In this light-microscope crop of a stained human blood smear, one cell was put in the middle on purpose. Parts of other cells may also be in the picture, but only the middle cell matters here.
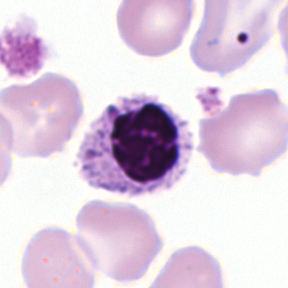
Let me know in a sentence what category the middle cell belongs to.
The middle position in this crop is taken by a normoblast.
